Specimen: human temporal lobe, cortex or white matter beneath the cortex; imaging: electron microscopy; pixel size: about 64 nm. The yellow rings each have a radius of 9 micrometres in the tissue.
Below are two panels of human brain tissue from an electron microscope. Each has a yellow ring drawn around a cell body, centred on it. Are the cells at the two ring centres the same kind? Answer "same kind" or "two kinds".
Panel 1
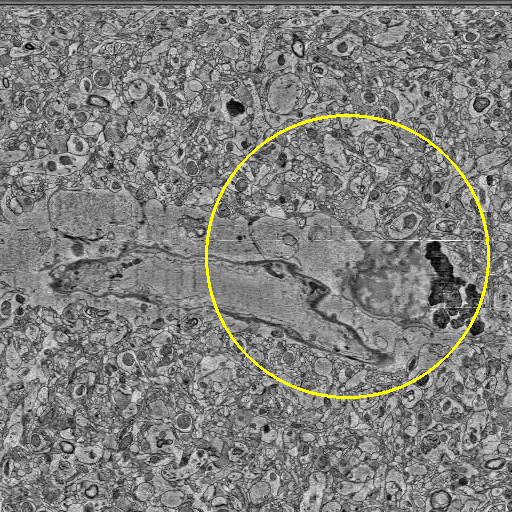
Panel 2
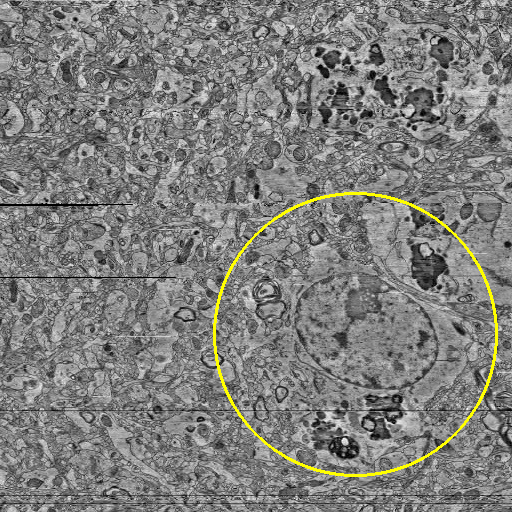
two kinds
